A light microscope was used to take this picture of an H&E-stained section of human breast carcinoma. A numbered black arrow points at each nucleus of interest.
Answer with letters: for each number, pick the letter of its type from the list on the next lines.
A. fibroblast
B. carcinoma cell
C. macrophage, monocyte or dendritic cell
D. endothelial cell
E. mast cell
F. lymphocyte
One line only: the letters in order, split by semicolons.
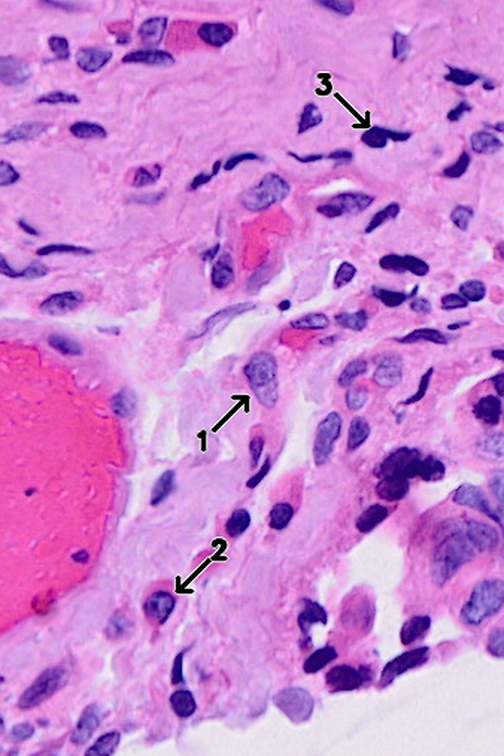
D; E; F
